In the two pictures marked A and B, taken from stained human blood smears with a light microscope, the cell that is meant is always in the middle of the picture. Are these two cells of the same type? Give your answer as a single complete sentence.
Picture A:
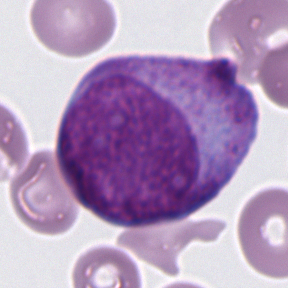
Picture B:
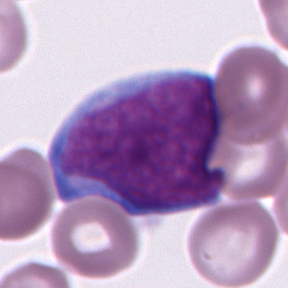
No. Picture A shows an atypical promyelocyte, but picture B shows a myeloblast.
